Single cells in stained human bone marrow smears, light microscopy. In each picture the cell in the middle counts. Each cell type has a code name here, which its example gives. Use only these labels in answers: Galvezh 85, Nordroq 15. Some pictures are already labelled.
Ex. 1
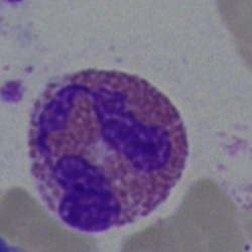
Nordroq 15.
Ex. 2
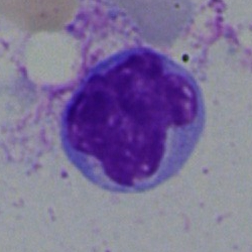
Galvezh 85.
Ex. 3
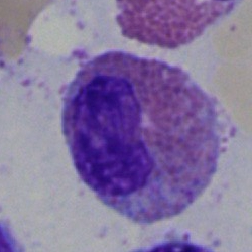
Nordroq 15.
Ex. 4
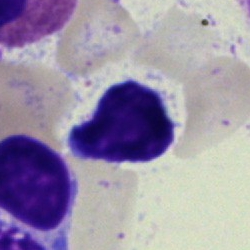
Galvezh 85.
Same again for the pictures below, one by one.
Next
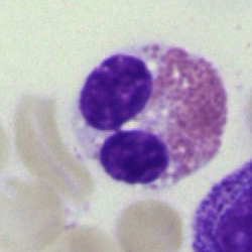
Nordroq 15.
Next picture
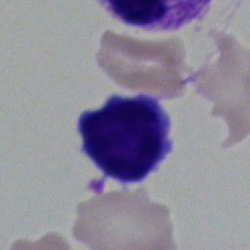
Galvezh 85.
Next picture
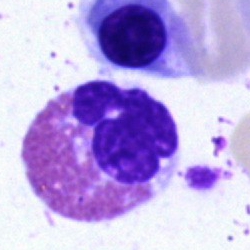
Nordroq 15.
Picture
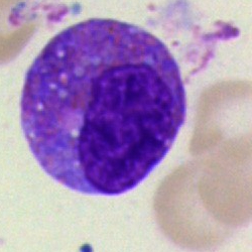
Nordroq 15.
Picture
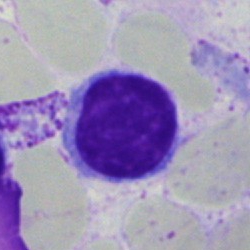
Galvezh 85.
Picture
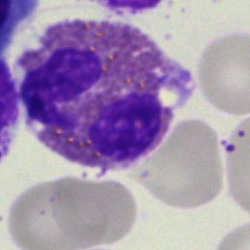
Nordroq 15.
